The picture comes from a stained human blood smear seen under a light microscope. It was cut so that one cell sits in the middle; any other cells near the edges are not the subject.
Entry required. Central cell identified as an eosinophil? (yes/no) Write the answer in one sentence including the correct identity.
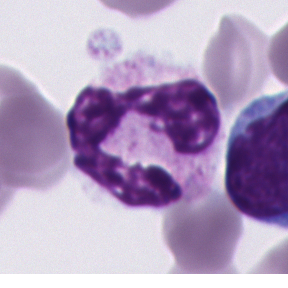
No, the cell at the center of this crop is a neutrophil instead of an eosinophil.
